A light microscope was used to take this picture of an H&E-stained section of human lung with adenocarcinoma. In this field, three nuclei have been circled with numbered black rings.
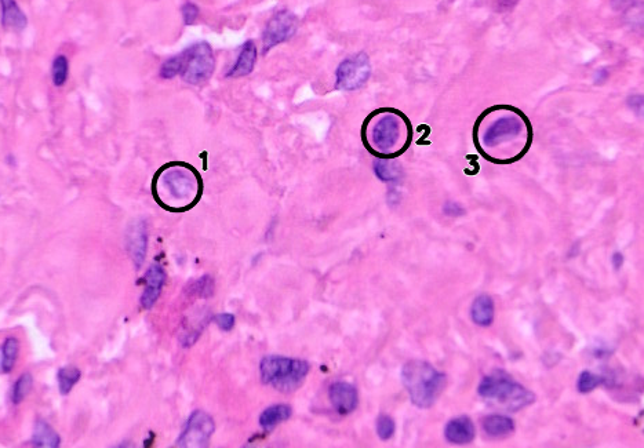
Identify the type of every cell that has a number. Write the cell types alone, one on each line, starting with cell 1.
fibroblast
mast cell
fibroblast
